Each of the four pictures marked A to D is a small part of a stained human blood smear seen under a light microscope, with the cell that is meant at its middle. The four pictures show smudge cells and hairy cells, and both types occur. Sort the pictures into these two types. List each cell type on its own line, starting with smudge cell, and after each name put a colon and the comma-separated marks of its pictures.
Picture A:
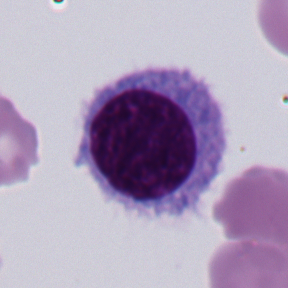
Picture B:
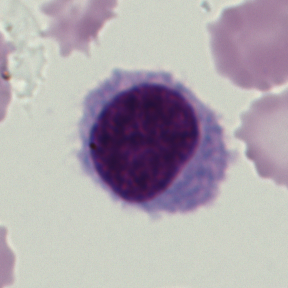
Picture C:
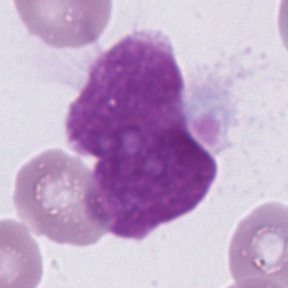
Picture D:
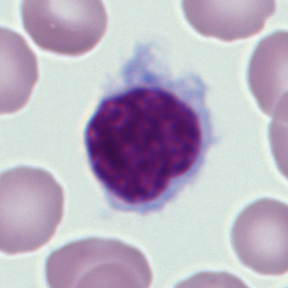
smudge cell: C
hairy cell: A, B, D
